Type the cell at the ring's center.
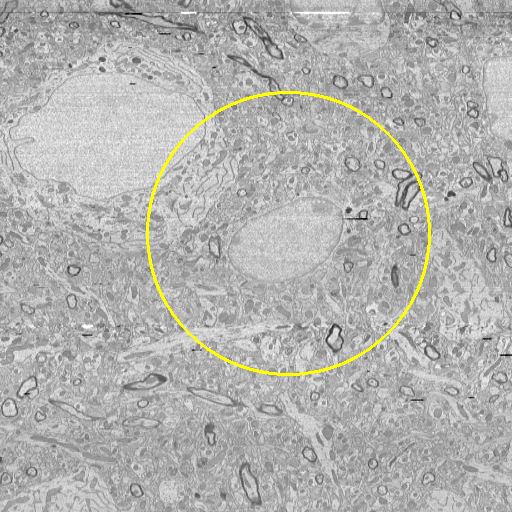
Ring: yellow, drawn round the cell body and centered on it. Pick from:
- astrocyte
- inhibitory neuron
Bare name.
astrocyte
